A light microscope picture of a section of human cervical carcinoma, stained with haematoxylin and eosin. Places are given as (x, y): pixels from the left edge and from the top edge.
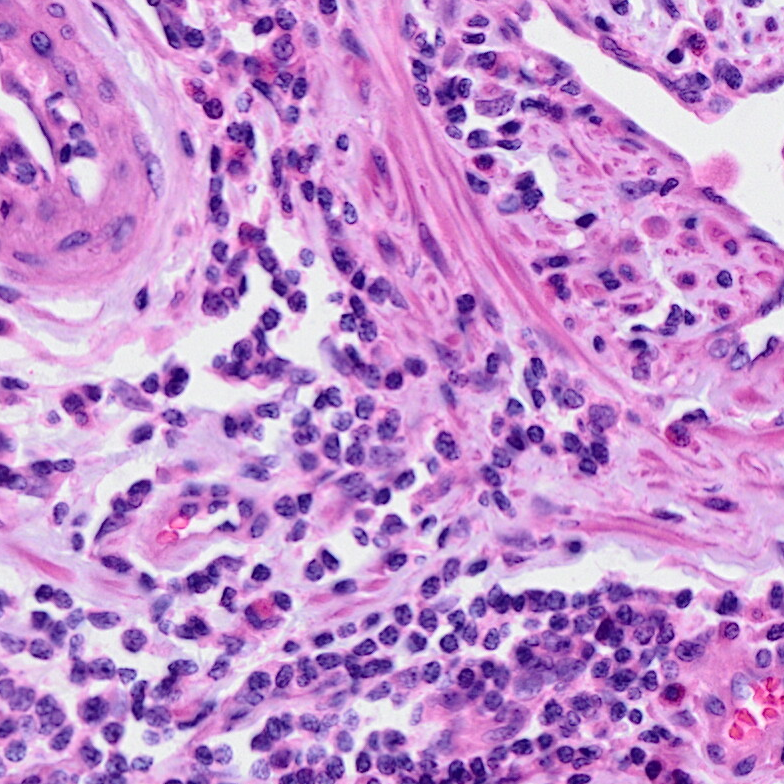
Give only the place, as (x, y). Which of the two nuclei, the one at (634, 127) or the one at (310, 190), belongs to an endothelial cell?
(634, 127)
